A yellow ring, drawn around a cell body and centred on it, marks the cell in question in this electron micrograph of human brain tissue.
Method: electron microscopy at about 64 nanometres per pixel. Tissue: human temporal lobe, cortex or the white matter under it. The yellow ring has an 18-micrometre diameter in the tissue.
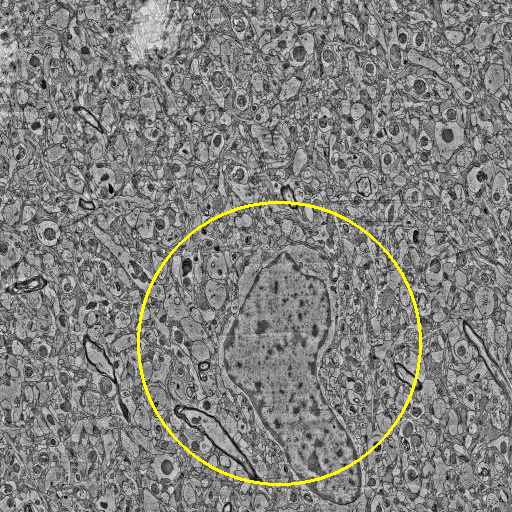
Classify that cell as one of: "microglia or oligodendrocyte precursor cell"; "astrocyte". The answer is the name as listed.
microglia or oligodendrocyte precursor cell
